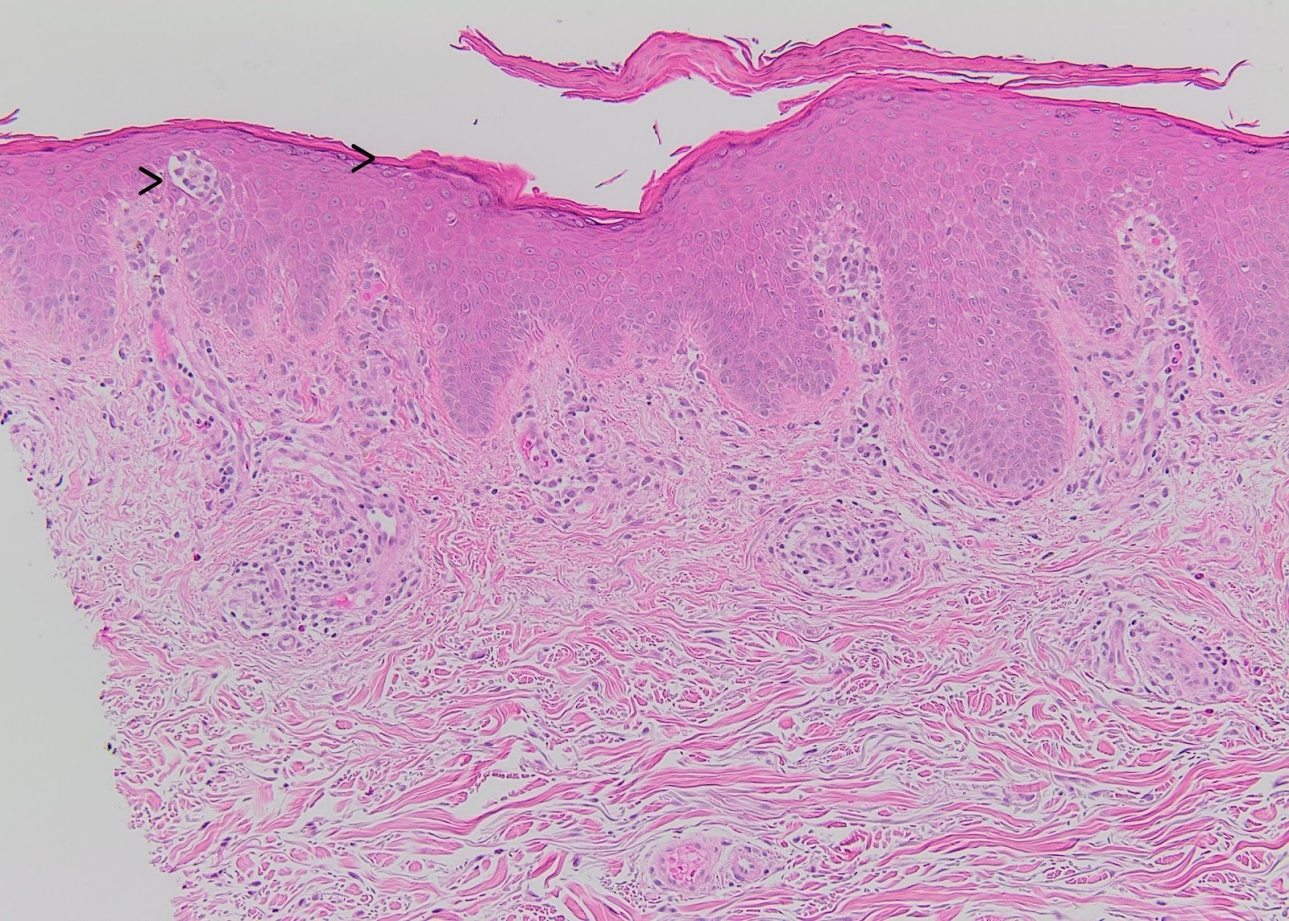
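This is skin, with a thickened epidermis of stratified keratinocytes resting on a dermis of pink collagen bundles. The epidermis has long, rounded downward ridges. A thin, intact granular layer lies beneath a pink cornified layer, which has partly lifted away from the surface. High in the epidermis on the left, a small rounded nest of pale cells sits among the keratinocytes, forming a tiny intraepidermal collection. The upper dermis contains scattered cells around small vessels, with denser small clusters around vessels deeper down.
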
